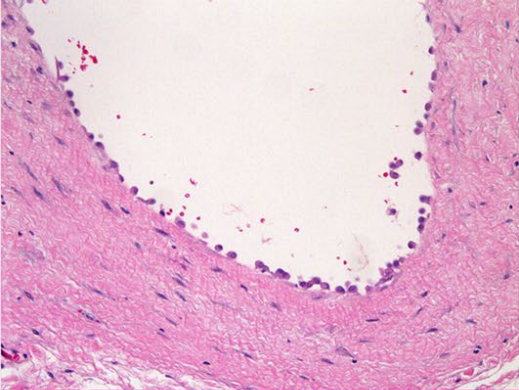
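Cyst wall lined by a single layer of cuboidal to flattened squamous epithelial cells. The lining cells have round, dark purple nuclei and scant cytoplasm; several bulge into the lumen and a few lie detached within it. The lumen is otherwise empty apart from scattered red blood cells. The wall beneath is a broad band of dense, pale pink collagenous fibrous tissue with sparse, elongated spindle-shaped nuclei aligned parallel to the lining. No layering or atypia of the lining is evident.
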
